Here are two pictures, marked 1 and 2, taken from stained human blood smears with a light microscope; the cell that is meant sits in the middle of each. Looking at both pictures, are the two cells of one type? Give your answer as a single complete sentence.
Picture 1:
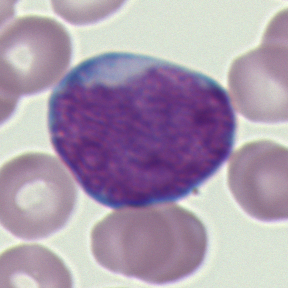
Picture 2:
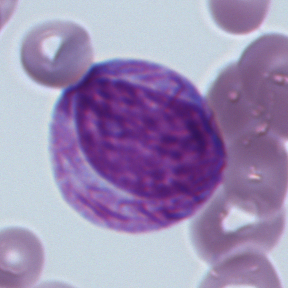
No, the types are not the same, since picture 1 shows a myeloblast and picture 2 an atypical promyelocyte.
